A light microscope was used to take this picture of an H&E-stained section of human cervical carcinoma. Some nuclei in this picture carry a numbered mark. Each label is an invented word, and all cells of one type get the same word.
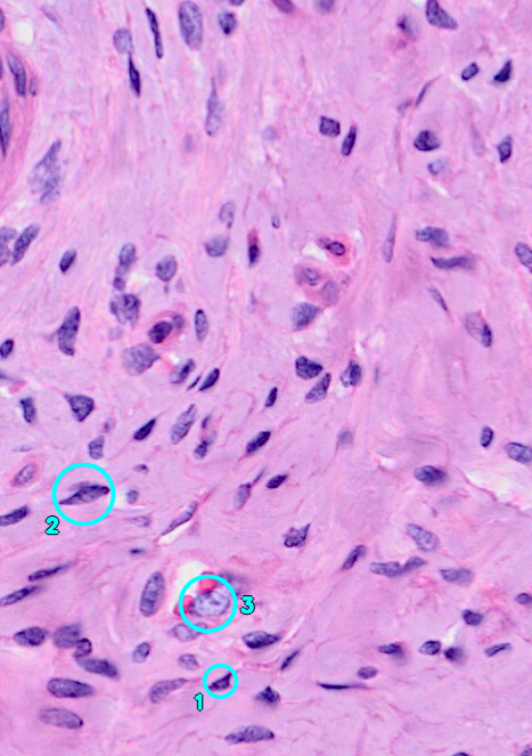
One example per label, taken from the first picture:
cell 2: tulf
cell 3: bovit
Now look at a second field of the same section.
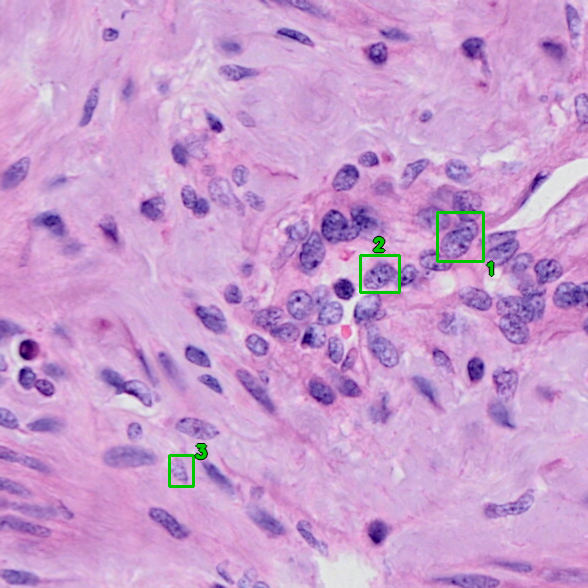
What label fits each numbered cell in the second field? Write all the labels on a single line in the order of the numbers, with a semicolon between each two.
bovit; bovit; tulf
